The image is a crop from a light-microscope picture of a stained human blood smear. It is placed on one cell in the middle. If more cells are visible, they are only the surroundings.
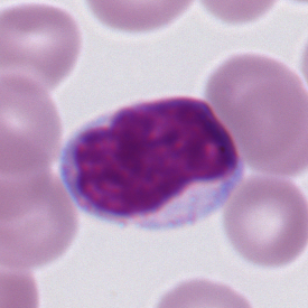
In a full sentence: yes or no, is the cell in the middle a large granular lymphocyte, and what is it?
Yes, the cell that is in the middle is a large granular lymphocyte.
